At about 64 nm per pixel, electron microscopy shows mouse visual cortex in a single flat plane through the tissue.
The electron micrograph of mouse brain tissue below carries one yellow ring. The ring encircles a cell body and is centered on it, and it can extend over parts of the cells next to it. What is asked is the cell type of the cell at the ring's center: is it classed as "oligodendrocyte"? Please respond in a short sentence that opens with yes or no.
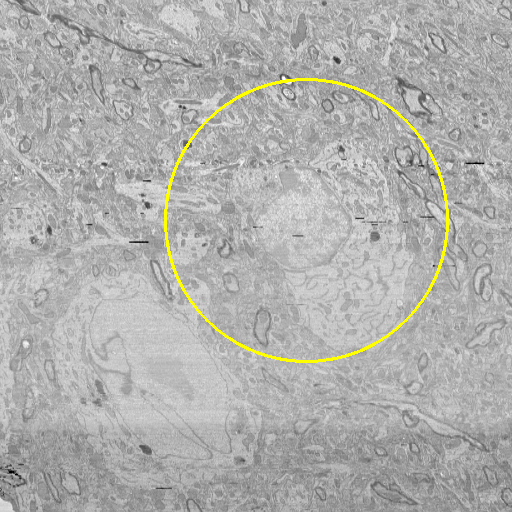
Yes, it is classed that way.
